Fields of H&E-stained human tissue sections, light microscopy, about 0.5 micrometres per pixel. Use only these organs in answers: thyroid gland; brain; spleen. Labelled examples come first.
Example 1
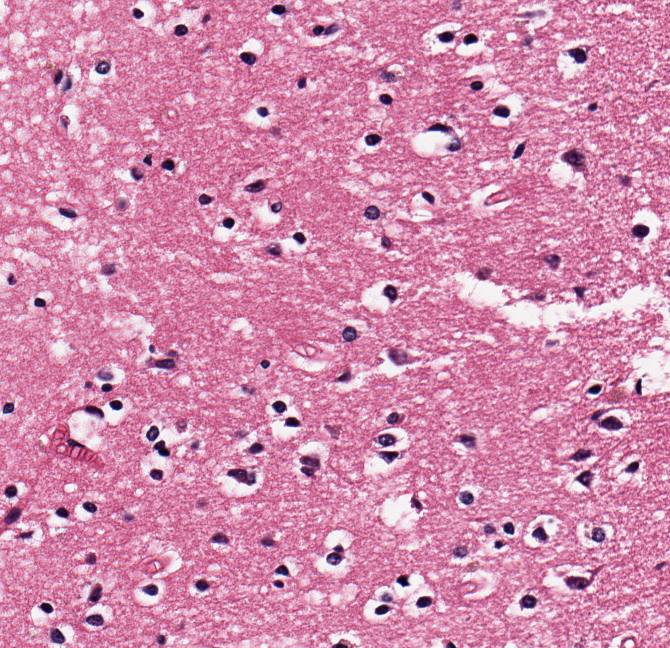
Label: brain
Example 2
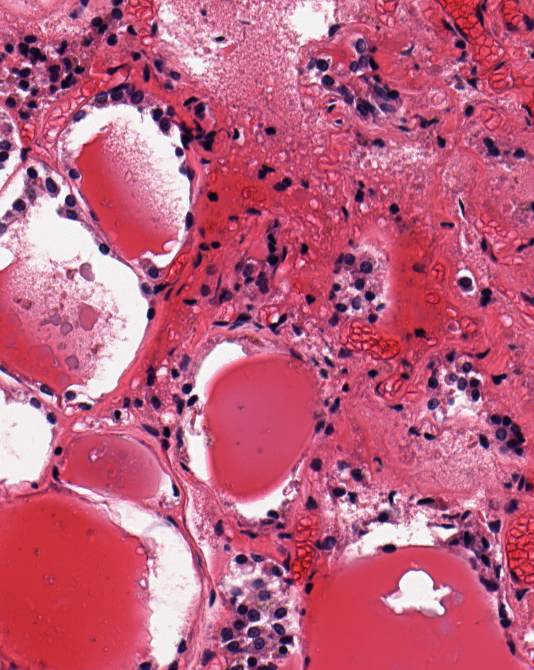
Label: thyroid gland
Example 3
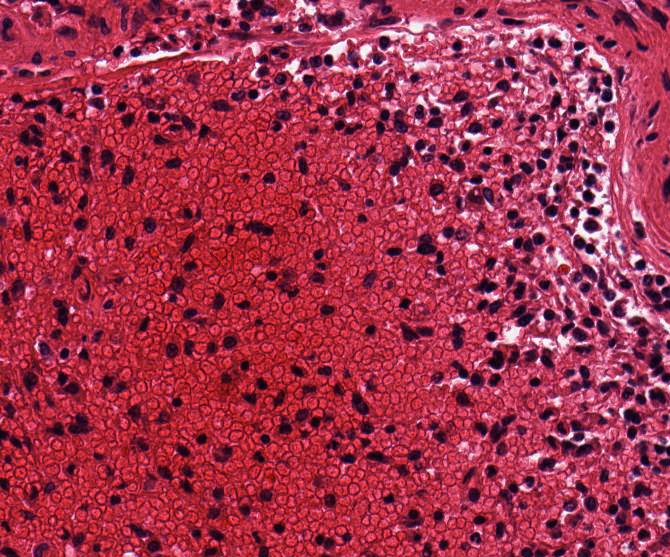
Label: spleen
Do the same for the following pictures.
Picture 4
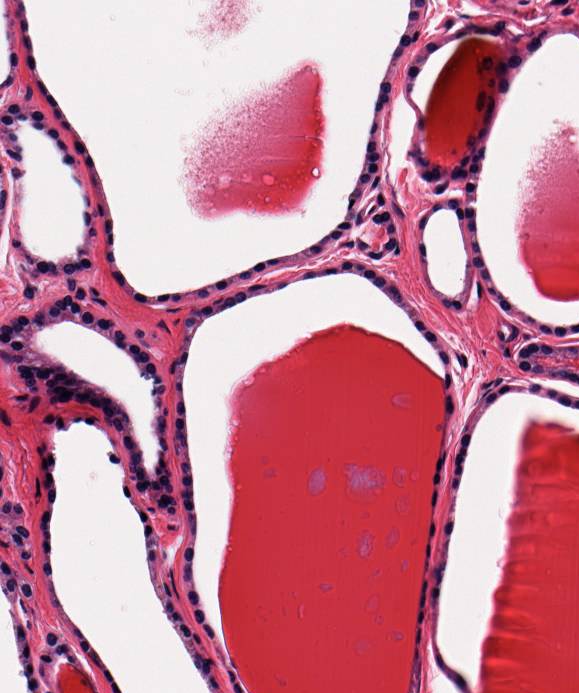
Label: thyroid gland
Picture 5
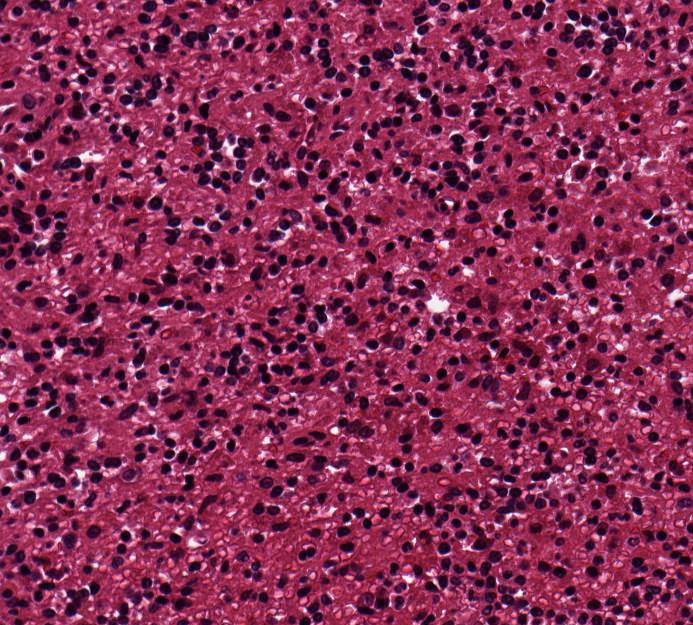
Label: spleen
